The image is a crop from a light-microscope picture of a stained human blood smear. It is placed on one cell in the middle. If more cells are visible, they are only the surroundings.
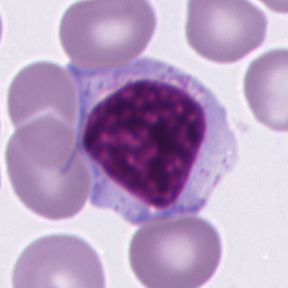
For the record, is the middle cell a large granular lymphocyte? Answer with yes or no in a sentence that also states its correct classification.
Yes, the centered cell in this field is a large granular lymphocyte.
